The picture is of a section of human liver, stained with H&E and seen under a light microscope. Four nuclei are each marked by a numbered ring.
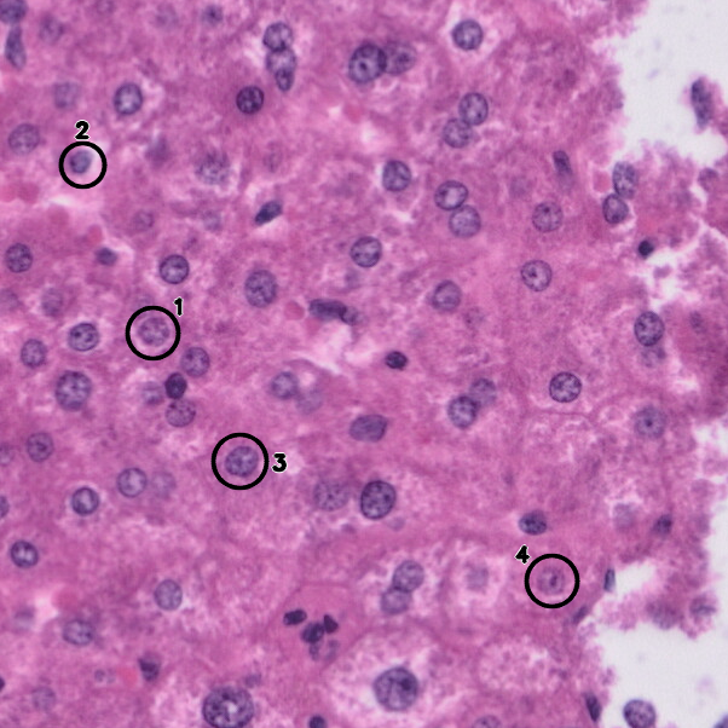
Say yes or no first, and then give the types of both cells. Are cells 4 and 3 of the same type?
Yes, cells 4 and 3 are both hepatocytes.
